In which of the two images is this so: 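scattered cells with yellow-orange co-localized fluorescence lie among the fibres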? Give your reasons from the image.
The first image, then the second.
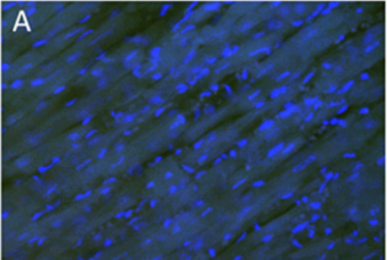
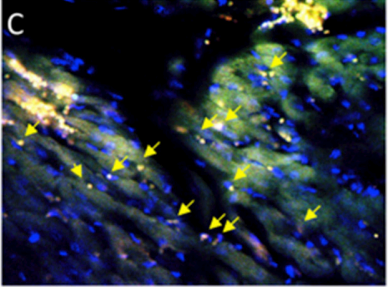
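First image: only blue nuclei on a dim greenish background, no yellow-orange spots. Second image: many yellow-orange dots and patches among the fibres, several pointed at by arrows. On this evidence: the second image.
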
